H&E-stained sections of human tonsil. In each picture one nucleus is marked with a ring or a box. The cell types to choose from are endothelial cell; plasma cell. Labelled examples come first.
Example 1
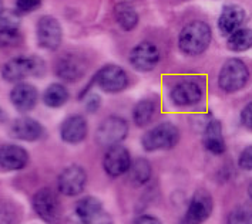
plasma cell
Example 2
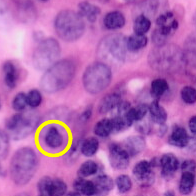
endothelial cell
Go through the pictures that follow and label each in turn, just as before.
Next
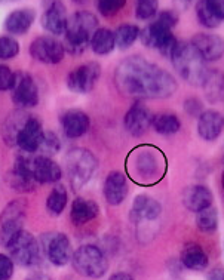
endothelial cell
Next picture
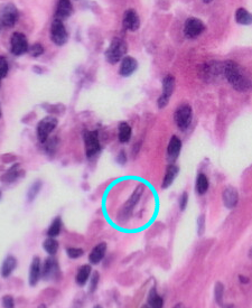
endothelial cell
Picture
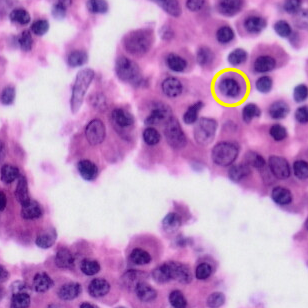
plasma cell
